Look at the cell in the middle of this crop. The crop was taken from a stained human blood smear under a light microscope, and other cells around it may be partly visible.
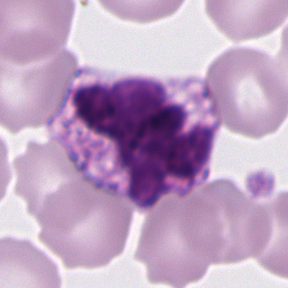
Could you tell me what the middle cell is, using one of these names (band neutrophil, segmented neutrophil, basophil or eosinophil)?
basophil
